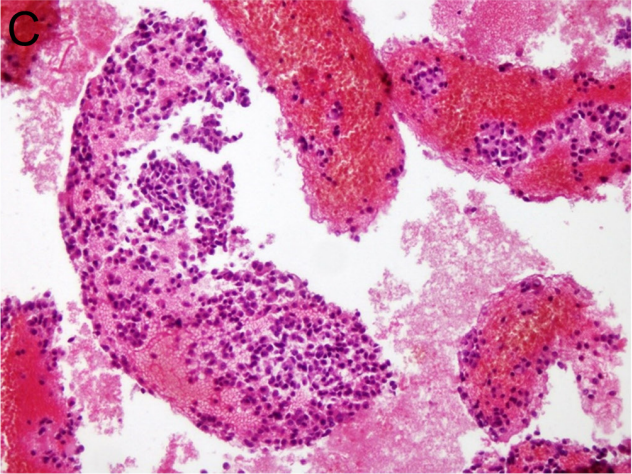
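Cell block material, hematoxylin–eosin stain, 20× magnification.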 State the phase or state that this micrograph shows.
Monotonous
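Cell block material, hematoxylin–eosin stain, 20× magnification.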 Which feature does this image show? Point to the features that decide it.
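Large bright red areas of red blood cells surround the cell groups. Pale pink amorphous material lies between the fragments. That points to this answer: blood and fibrinoid background.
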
